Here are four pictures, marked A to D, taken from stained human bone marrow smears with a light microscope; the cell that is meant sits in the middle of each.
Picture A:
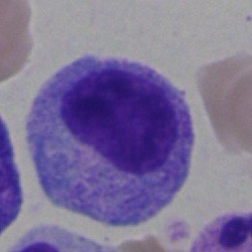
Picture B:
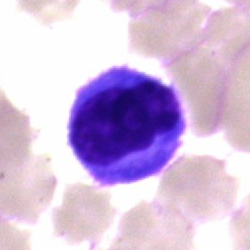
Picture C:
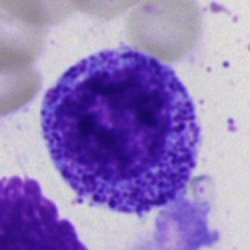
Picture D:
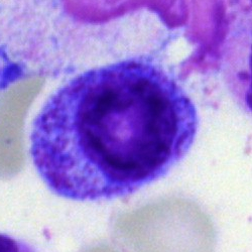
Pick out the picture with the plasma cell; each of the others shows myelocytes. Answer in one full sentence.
Picture B is the one that shows the plasma cell.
